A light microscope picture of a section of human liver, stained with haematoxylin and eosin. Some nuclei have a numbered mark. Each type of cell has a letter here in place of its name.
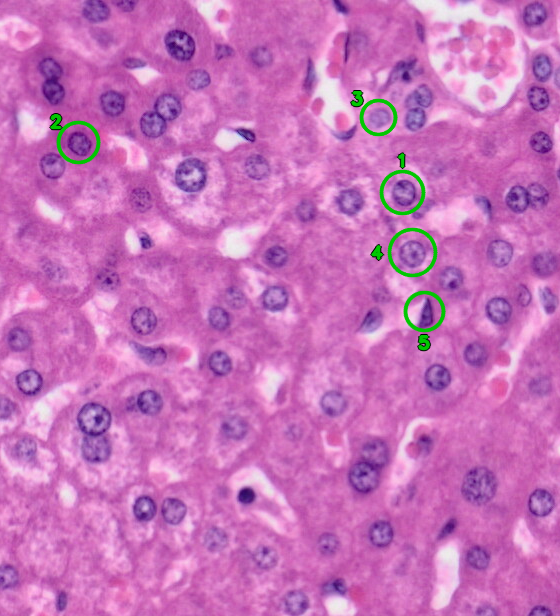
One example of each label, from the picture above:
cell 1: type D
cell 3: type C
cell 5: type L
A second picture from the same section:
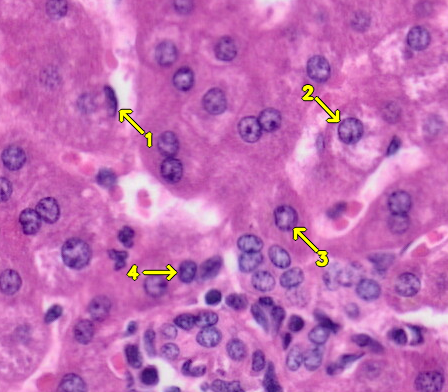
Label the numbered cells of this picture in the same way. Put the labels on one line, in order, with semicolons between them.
type L; type D; type D; type C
